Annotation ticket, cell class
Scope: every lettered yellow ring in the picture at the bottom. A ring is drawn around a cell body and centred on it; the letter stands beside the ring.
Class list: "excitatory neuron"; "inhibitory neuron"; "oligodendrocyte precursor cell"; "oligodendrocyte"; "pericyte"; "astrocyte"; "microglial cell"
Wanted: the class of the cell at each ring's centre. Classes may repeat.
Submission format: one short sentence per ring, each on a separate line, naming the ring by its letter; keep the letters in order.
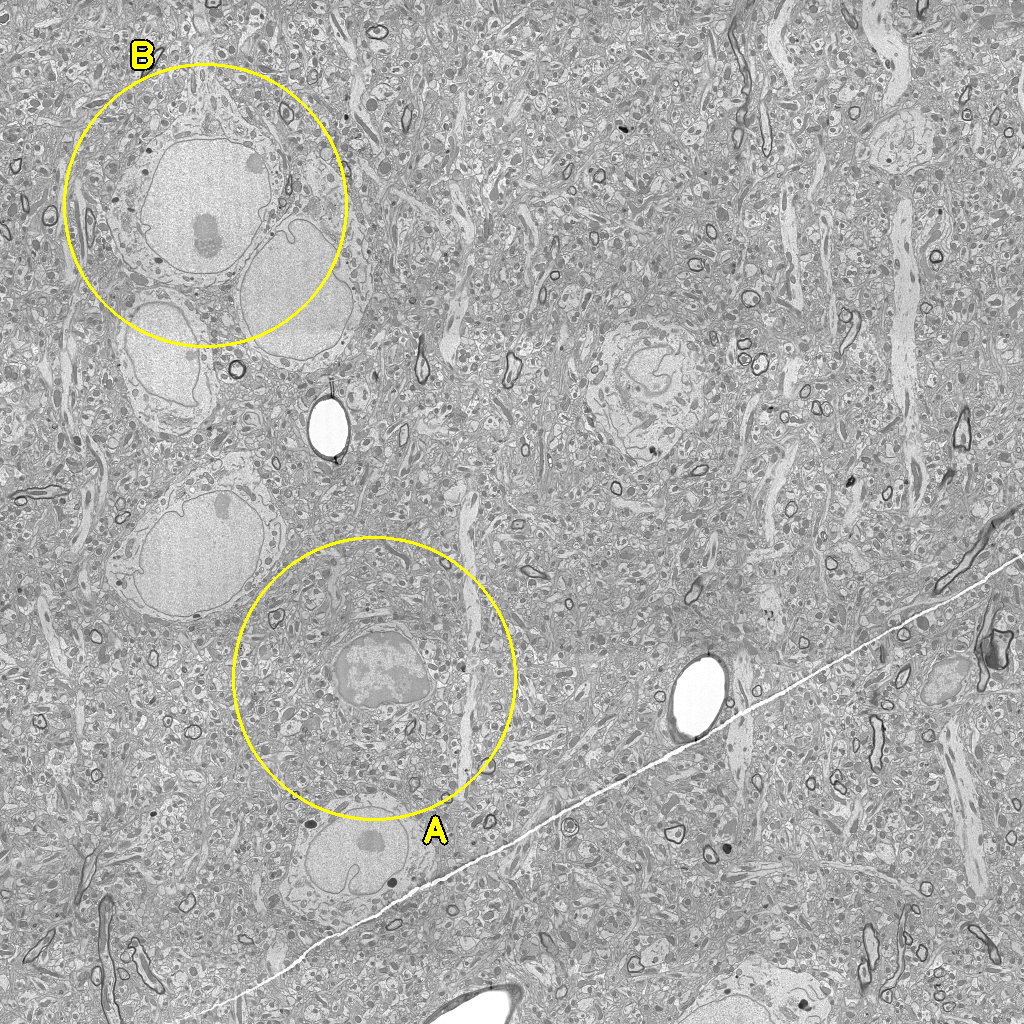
The centre of ring A is occupied by a microglial cell.
The centre of ring B is occupied by an excitatory neuron.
